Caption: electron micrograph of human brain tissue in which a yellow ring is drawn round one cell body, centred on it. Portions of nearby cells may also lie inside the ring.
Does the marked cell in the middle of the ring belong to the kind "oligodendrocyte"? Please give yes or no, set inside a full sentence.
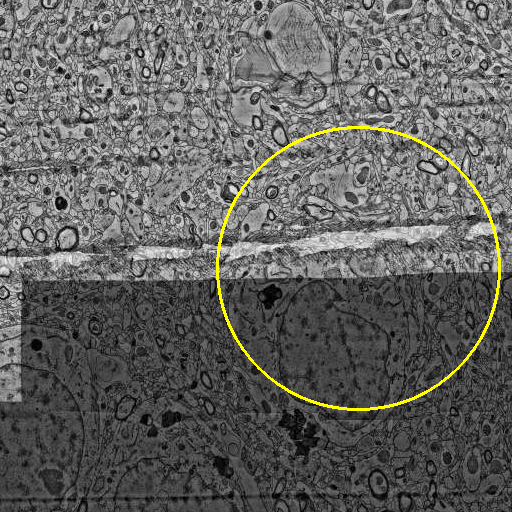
Yes, the marked cell that the ring is centred on in the picture is of that kind.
